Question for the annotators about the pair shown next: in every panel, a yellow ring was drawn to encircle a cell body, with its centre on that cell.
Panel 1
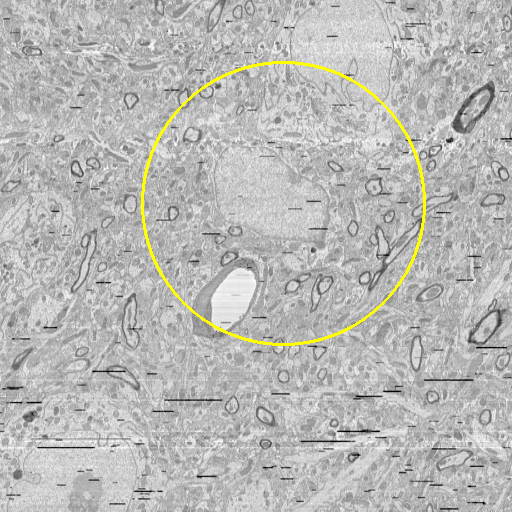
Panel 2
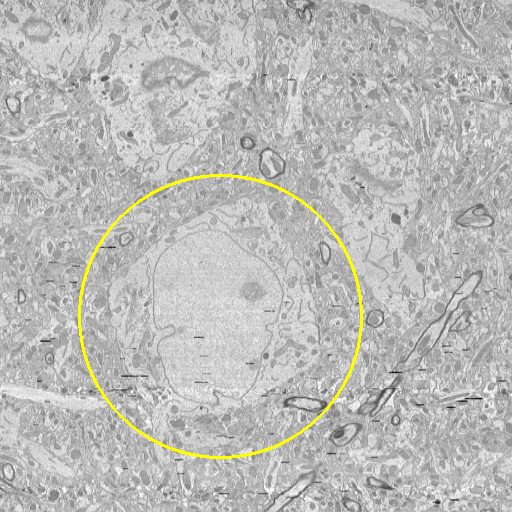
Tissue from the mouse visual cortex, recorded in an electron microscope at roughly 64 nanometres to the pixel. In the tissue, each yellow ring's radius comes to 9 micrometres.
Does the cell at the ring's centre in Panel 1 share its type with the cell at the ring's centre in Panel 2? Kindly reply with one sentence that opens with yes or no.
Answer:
No, in Panels 1 and 2 the cells at the ring centres belong to separate types.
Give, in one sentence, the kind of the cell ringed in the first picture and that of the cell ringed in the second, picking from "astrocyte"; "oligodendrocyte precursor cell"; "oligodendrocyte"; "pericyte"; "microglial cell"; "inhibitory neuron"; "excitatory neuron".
For the first picture it is an astrocyte; for the second, an excitatory neuron.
